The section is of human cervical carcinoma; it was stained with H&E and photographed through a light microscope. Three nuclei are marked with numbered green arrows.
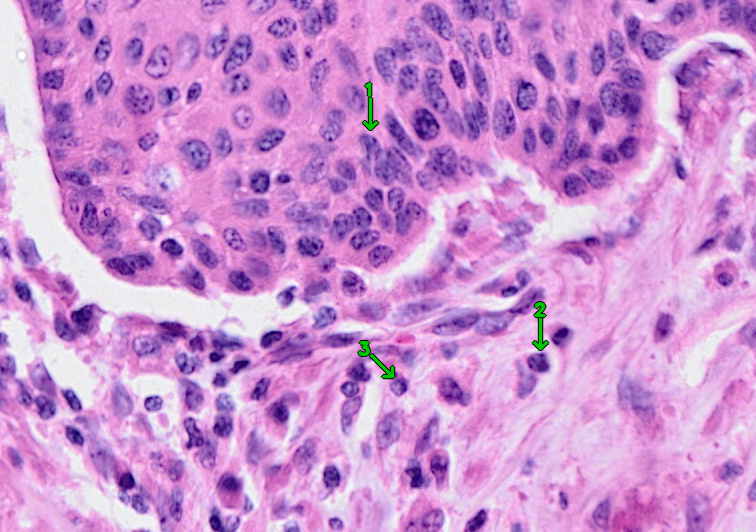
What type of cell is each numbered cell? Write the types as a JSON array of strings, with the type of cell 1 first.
["squamous carcinoma cell", "lymphocyte", "lymphocyte"]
